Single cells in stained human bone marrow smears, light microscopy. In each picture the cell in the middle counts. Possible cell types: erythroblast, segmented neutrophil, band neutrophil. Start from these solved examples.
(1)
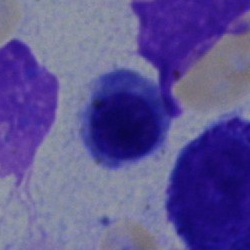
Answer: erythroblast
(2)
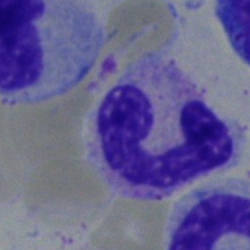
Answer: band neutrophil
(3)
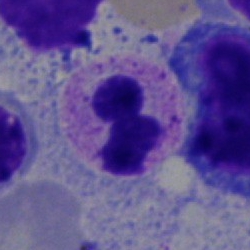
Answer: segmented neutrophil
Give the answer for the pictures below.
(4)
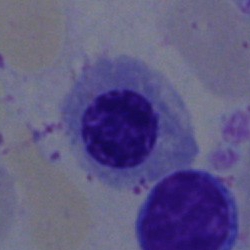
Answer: erythroblast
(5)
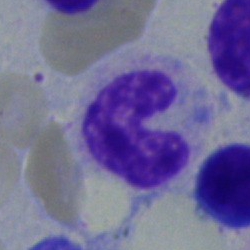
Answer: band neutrophil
